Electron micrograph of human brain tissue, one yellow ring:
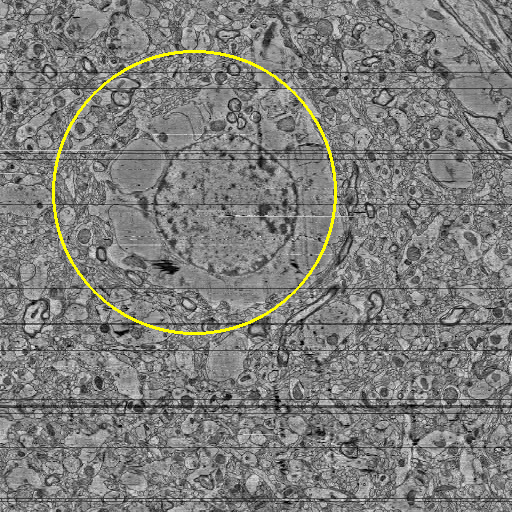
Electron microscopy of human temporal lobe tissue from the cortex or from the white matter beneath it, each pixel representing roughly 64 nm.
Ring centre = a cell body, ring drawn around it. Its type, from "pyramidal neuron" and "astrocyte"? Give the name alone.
astrocyte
